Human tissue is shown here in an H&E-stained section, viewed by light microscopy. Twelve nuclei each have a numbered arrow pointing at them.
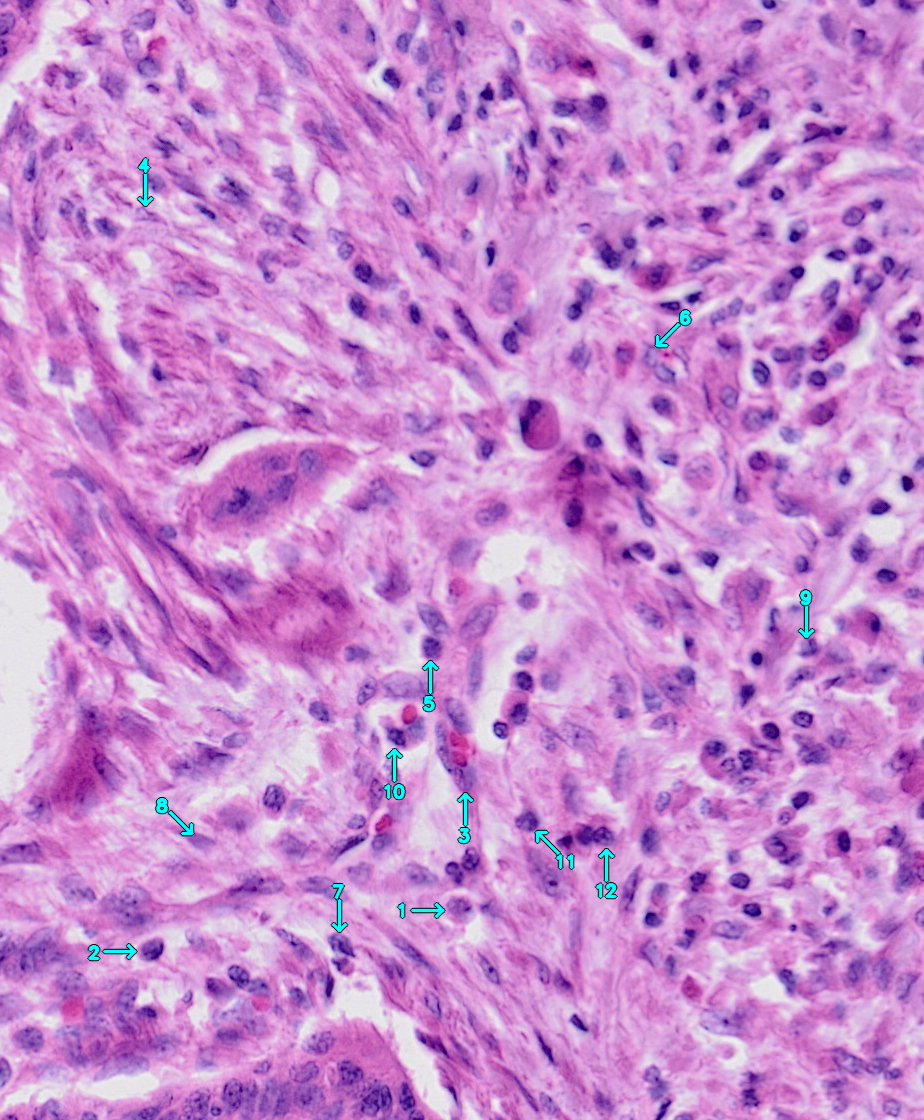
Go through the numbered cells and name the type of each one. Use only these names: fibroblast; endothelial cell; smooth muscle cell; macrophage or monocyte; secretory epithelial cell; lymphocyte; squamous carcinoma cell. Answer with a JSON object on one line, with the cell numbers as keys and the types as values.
{"1": "macrophage or monocyte", "2": "lymphocyte", "3": "endothelial cell", "4": "fibroblast", "5": "lymphocyte", "6": "endothelial cell", "7": "lymphocyte", "8": "fibroblast", "9": "lymphocyte", "10": "lymphocyte", "11": "lymphocyte", "12": "lymphocyte"}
